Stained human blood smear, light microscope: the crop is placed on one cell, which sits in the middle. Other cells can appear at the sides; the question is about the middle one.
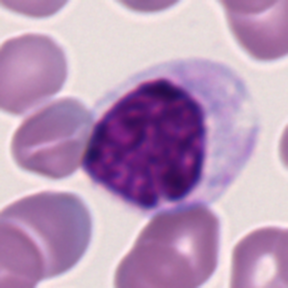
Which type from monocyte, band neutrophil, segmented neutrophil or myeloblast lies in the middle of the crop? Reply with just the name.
band neutrophil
